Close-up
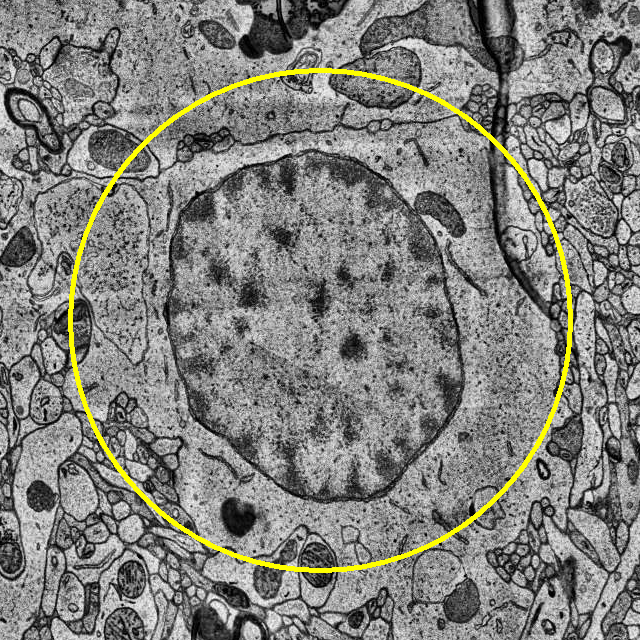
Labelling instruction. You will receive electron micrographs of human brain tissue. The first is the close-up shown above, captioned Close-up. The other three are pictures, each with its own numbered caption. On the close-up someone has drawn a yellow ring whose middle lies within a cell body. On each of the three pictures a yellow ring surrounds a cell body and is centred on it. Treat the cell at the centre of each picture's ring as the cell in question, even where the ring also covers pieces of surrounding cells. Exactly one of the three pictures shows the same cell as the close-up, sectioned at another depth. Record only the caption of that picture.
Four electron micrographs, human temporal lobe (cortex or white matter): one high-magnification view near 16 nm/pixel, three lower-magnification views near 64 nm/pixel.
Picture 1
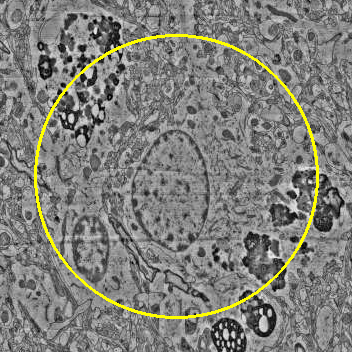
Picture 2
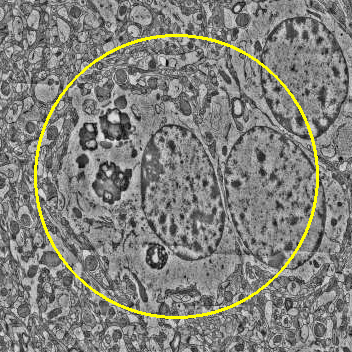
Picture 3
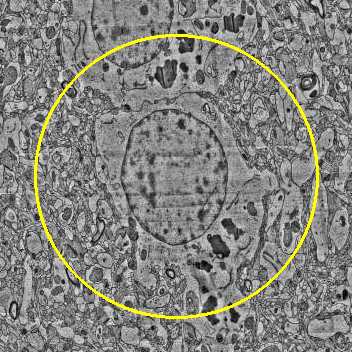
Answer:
Picture 3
